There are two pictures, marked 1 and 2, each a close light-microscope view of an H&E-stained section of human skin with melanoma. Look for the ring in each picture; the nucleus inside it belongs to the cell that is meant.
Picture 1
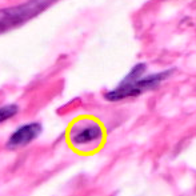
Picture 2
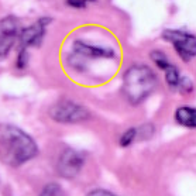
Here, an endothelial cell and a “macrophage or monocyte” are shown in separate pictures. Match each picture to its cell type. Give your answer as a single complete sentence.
The cell in picture 1 is a “macrophage or monocyte”, and the one in picture 2 is an endothelial cell.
